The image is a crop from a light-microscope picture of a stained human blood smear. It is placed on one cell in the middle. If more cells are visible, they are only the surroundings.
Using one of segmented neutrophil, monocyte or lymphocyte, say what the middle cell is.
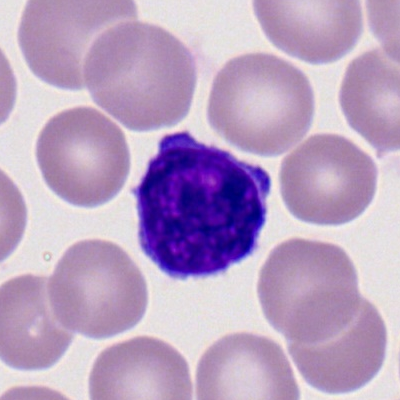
lymphocyte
